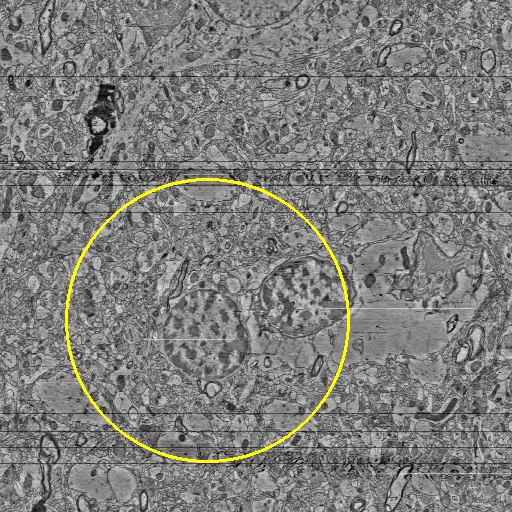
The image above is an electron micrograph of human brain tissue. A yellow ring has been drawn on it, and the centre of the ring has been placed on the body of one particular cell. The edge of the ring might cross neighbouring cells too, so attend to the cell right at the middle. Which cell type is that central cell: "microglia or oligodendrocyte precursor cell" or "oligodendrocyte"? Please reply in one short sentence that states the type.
The central cell in the ring is an oligodendrocyte.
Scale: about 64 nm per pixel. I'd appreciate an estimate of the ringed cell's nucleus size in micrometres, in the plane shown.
About 6 micrometres by about 5 micrometres in this plane.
